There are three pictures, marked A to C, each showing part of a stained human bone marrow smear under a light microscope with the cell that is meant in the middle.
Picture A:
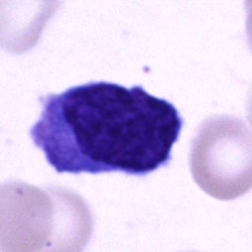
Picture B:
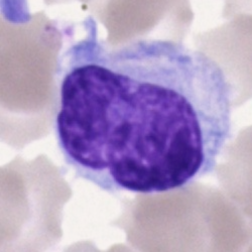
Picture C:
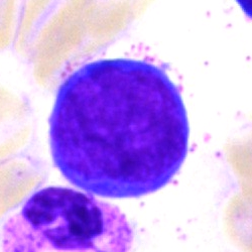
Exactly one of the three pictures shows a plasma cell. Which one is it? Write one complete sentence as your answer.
The plasma cell is the one in picture A.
